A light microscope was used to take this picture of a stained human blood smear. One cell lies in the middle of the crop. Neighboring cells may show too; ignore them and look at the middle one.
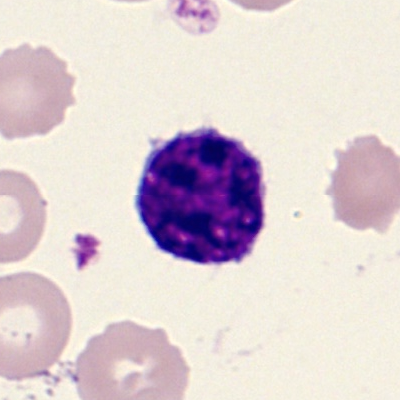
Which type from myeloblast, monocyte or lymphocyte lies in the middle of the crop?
lymphocyte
